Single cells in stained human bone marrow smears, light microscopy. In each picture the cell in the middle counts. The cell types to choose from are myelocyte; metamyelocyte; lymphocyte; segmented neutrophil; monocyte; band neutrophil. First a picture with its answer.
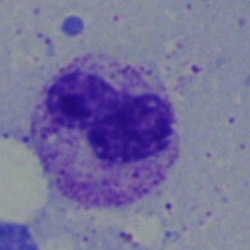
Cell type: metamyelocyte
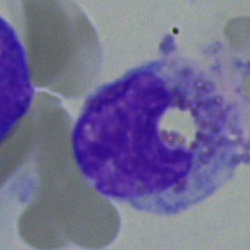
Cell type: monocyte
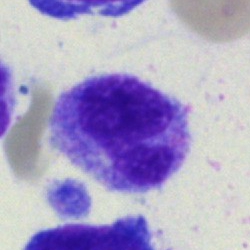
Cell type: monocyte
